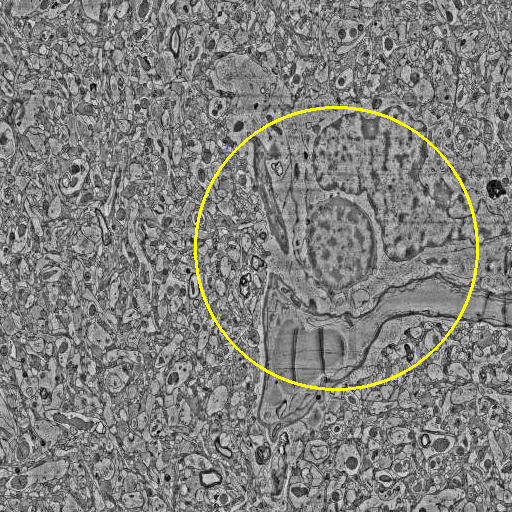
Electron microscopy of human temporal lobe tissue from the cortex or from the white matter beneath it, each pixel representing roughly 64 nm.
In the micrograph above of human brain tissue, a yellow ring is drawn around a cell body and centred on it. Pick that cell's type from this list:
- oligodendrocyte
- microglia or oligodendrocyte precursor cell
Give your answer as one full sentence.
Going by the list, an oligodendrocyte is the cell on which the yellow ring is centred.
